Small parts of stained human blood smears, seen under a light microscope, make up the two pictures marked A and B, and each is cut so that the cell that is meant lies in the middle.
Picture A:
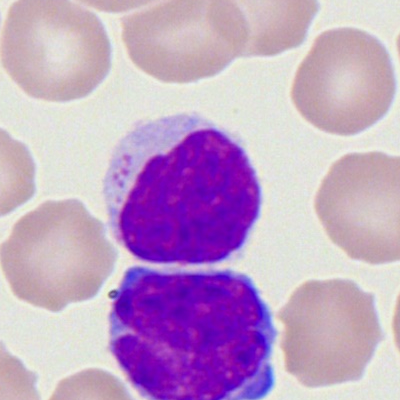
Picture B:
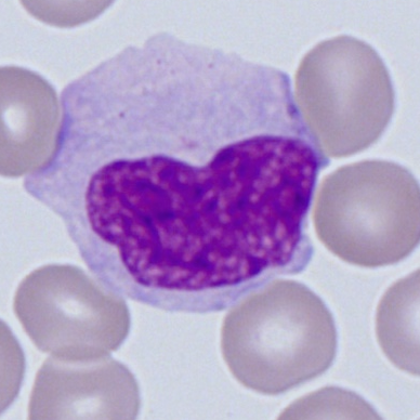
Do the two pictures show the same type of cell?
no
